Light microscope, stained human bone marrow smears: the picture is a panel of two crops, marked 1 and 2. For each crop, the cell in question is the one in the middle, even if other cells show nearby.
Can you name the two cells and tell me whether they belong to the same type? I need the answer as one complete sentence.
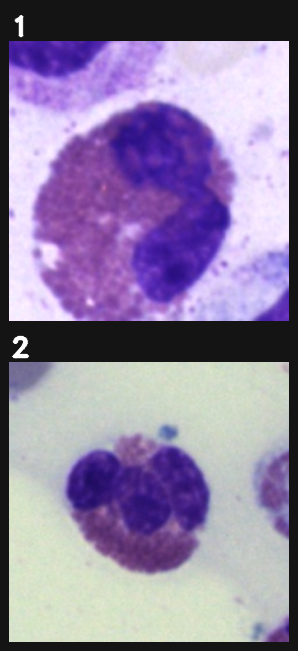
Yes, both crops depict eosinophils at the centre.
